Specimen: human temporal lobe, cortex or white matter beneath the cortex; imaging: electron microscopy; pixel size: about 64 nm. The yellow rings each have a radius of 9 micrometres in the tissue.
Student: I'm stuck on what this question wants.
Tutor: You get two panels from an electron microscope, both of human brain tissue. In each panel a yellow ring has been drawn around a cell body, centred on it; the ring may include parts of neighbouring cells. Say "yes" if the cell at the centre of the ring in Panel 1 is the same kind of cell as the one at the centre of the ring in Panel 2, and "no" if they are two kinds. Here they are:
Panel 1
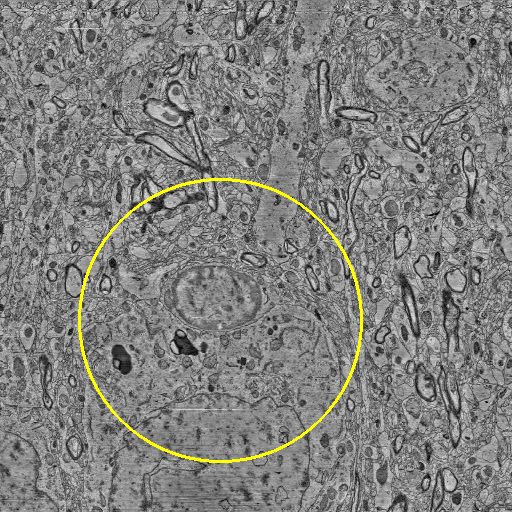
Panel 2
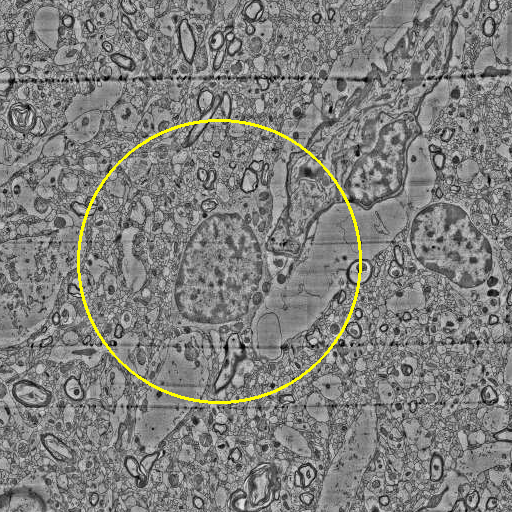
yes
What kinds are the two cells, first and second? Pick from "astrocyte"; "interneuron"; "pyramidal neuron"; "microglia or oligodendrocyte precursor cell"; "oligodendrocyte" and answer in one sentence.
The second cell is an oligodendrocyte, just as the first is.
